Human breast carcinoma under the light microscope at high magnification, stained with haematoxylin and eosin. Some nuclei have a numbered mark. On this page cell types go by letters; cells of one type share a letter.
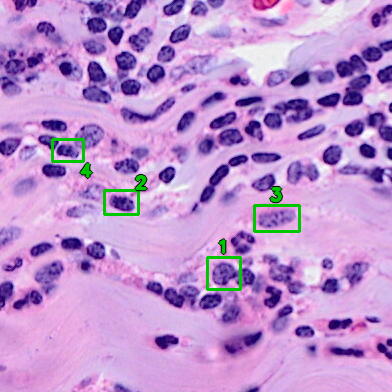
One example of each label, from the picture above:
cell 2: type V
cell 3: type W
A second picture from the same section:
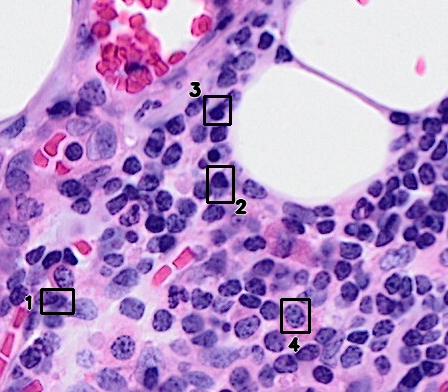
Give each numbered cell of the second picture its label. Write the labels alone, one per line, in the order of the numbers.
type V
type V
type V
type W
